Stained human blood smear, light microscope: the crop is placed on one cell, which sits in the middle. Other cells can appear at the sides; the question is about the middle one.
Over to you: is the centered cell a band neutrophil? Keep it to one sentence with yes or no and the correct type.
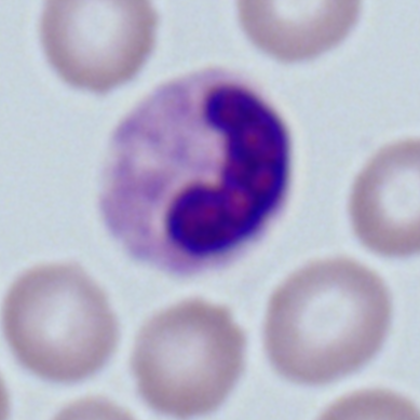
Yes, the cell at the very centre of the crop is a band neutrophil.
